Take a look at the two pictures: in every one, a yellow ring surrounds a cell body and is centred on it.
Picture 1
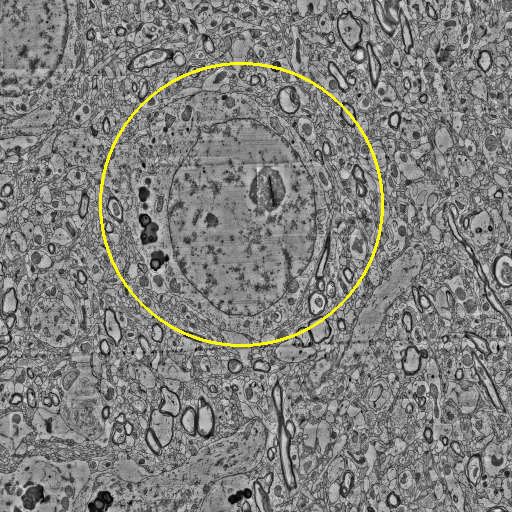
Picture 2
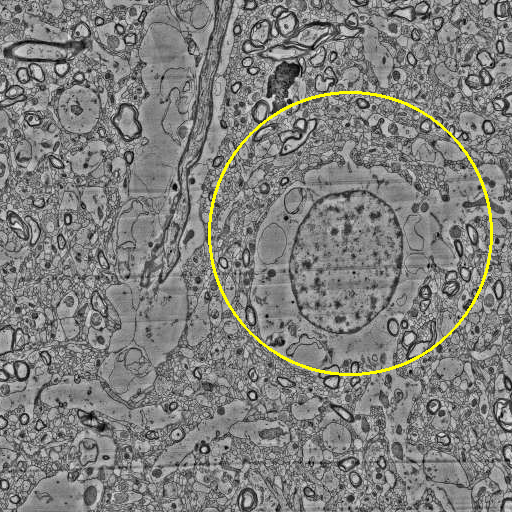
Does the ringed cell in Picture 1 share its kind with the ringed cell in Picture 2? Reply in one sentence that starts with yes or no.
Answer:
No, the two centred cells, one per picture, are of two kinds.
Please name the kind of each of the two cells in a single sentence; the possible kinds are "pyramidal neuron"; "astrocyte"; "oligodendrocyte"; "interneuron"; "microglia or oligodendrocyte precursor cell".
In the first picture the ring is centred on a pyramidal neuron, and in the second on an astrocyte.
